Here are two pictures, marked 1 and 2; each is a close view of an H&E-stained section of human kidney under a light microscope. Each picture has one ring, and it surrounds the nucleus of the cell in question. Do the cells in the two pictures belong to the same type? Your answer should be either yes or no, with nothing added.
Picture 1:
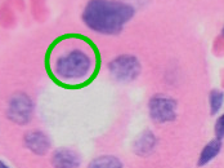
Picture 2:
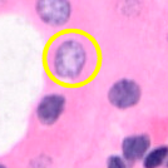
yes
